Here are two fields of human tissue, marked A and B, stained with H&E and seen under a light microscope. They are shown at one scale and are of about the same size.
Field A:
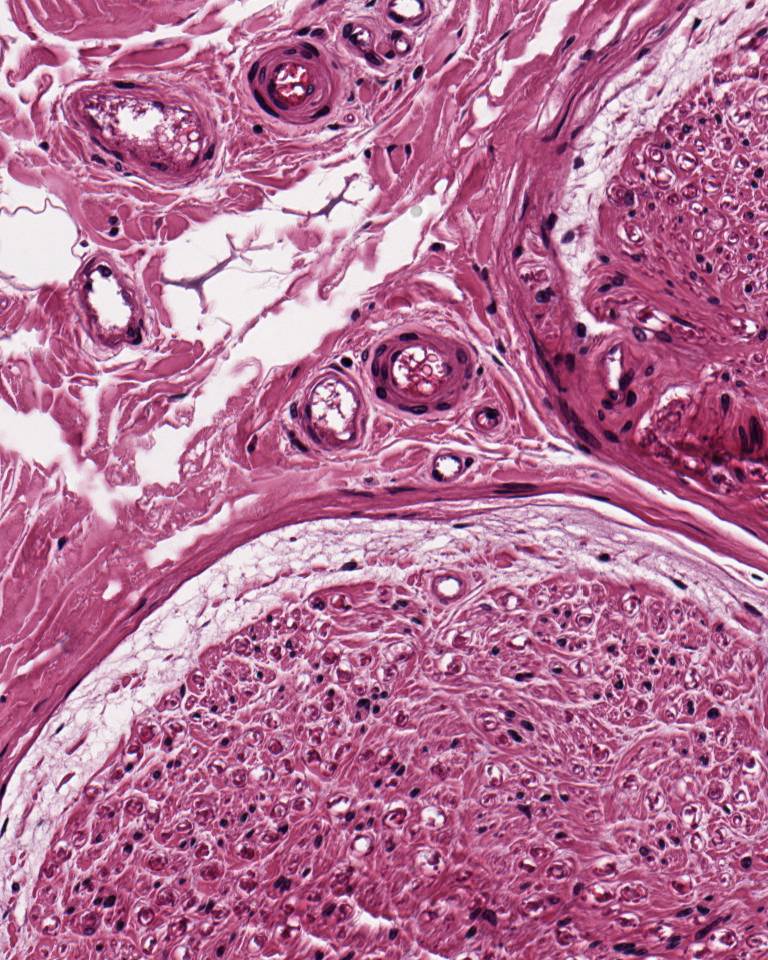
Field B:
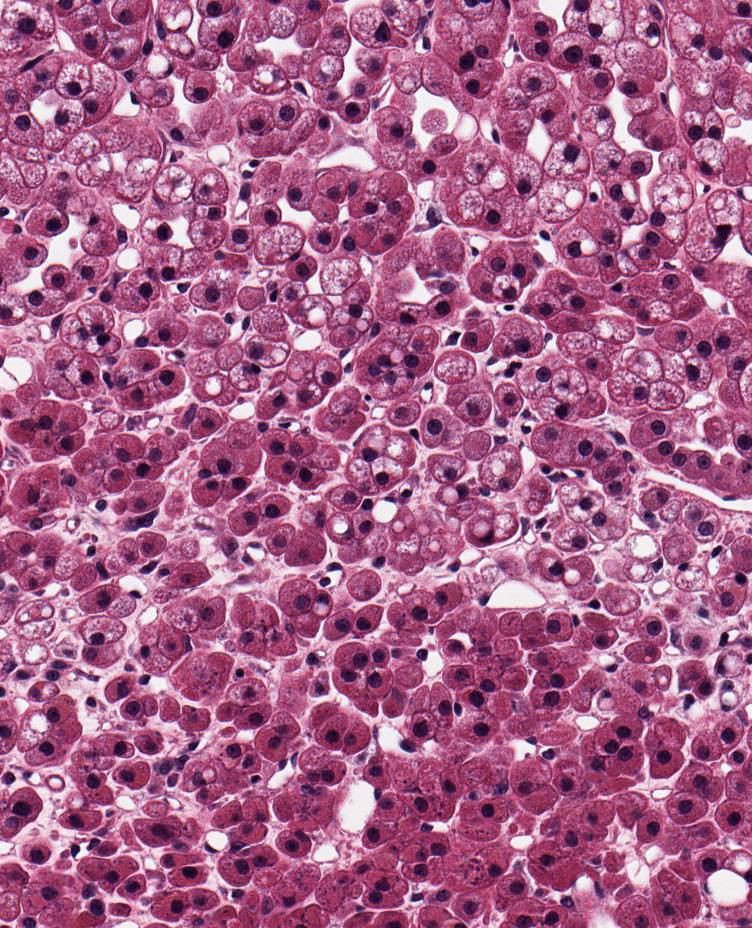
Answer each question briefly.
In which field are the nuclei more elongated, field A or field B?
A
